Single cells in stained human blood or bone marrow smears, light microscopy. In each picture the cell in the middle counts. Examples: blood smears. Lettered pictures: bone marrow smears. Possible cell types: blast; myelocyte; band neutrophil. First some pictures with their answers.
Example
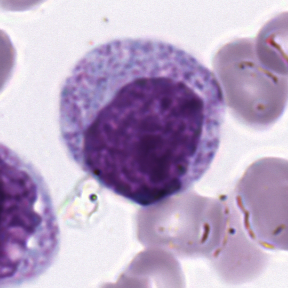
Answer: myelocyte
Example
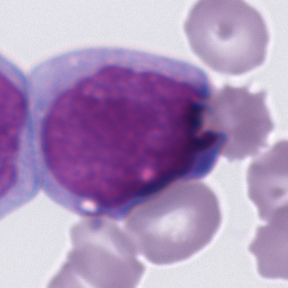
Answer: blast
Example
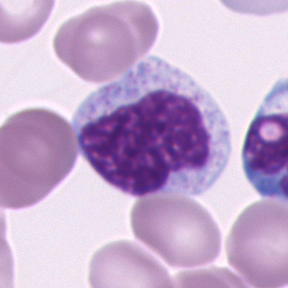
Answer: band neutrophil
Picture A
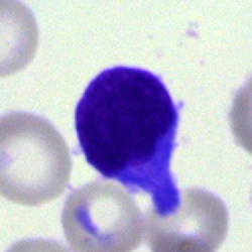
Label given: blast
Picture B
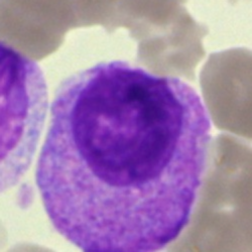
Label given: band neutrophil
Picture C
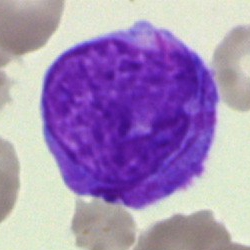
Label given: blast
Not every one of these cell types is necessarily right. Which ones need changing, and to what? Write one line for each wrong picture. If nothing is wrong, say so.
B: change band neutrophil to myelocyte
